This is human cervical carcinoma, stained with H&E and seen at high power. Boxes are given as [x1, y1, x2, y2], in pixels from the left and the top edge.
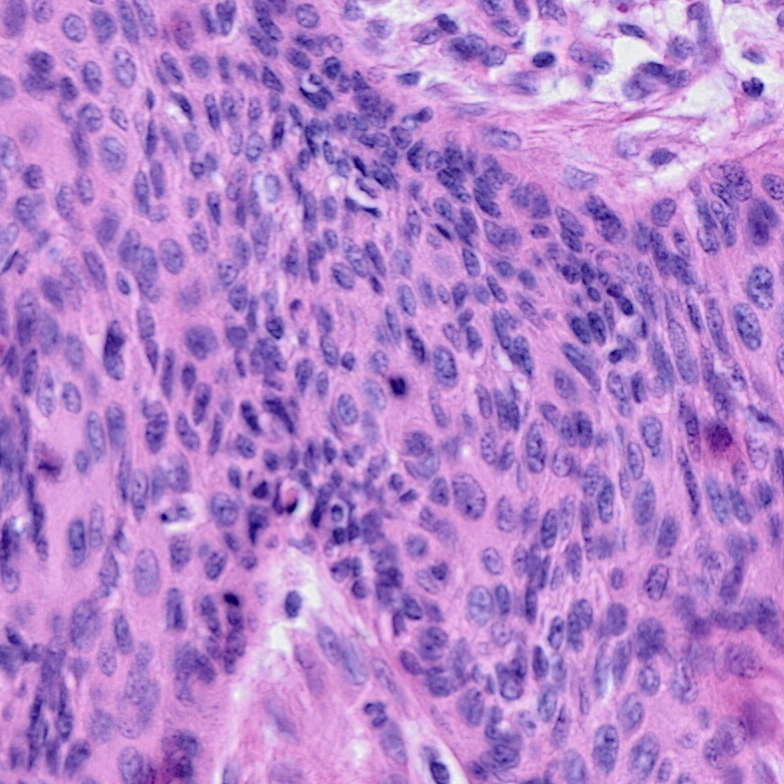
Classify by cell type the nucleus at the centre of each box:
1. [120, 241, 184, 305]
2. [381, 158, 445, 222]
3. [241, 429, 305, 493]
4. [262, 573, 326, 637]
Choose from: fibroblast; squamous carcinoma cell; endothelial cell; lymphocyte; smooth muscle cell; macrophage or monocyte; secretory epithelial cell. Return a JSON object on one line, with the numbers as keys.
{"1": "squamous carcinoma cell", "2": "squamous carcinoma cell", "3": "squamous carcinoma cell", "4": "lymphocyte"}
